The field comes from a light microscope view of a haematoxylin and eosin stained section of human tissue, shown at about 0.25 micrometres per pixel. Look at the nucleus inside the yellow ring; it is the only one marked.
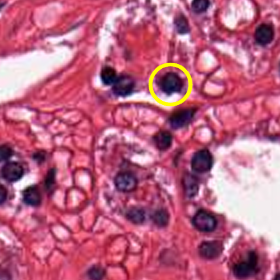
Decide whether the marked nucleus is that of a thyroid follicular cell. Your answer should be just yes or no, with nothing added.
yes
